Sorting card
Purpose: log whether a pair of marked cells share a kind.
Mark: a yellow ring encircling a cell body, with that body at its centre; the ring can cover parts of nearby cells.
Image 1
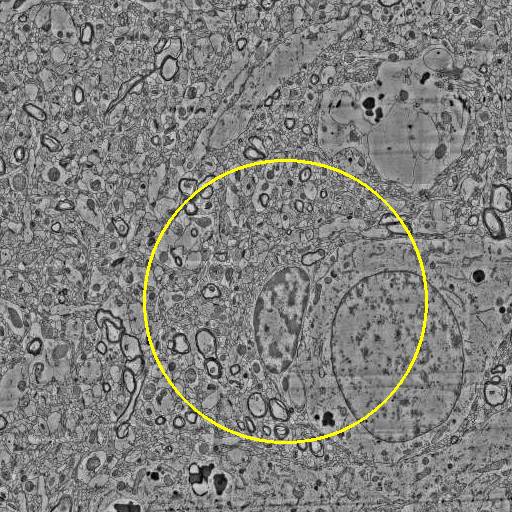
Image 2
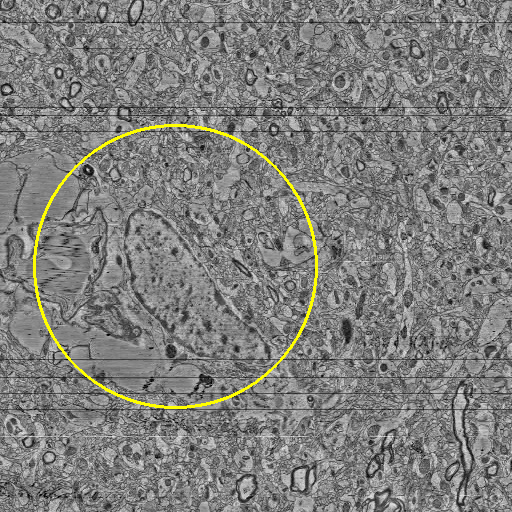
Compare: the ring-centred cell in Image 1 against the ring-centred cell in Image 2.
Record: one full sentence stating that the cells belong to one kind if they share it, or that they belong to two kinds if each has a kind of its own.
Across Images 1 and 2, the two ring-centred cells belong to one kind.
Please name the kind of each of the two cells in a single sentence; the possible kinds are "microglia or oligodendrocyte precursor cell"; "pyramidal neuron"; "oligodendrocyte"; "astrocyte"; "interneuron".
In both pictures the ring is centred on a microglial cell or oligodendrocyte precursor cell.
